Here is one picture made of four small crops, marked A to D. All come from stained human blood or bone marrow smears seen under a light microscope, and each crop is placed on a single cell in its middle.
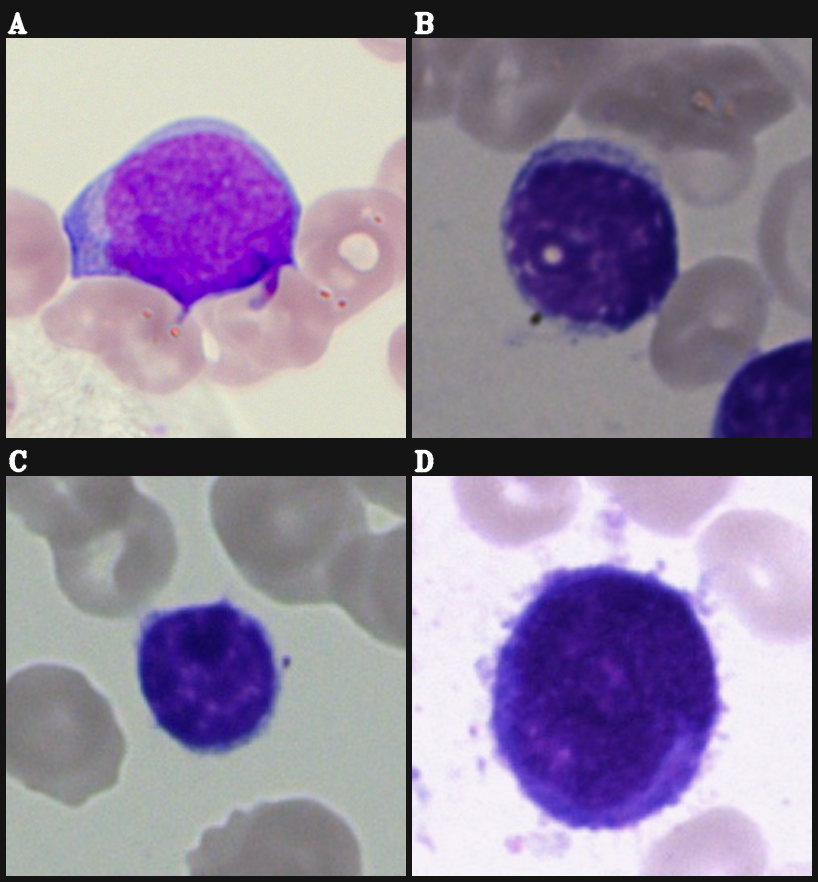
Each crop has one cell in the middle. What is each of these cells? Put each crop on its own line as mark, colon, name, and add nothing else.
A: blast
B: lymphocyte
C: lymphocyte
D: blast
